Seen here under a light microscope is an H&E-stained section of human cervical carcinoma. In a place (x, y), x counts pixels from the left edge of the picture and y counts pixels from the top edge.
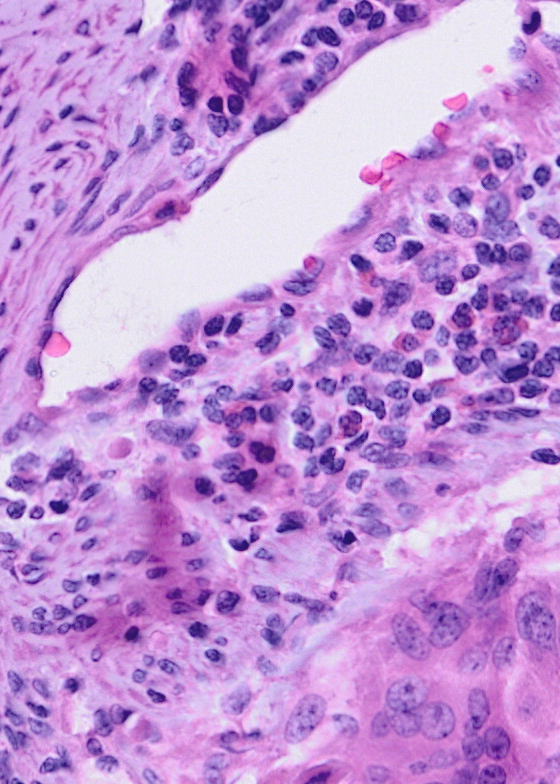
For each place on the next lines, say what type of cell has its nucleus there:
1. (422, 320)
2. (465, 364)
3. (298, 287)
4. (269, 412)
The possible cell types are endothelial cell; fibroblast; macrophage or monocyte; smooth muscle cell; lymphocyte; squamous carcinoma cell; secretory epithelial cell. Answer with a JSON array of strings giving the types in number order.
["lymphocyte", "lymphocyte", "endothelial cell", "lymphocyte"]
